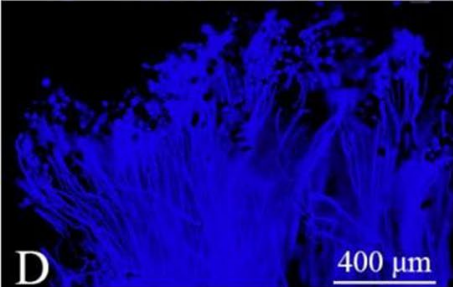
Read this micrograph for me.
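Pollen grains appear as small round blue bodies crowded along the upper surface of the pollinated tissue. From this region a dense mass of long, slender pollen tubes grows downward, the tubes running side by side in bundles that converge into a bright band at the bottom.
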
